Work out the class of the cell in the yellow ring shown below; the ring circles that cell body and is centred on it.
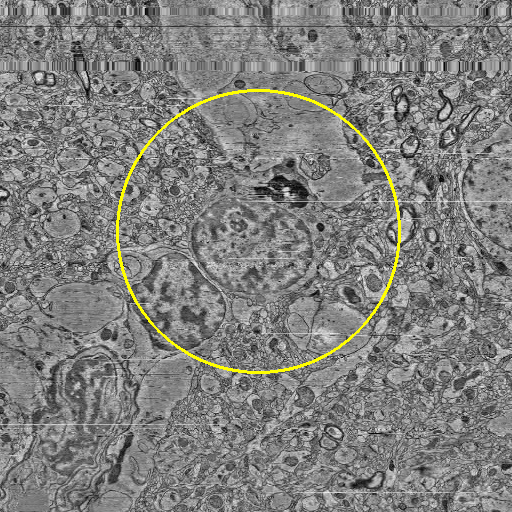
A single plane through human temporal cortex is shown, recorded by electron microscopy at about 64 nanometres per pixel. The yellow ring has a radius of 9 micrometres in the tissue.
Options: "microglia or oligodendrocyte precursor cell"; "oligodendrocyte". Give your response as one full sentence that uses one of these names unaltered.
The body ringed in yellow, right at the ring's centre, is that of an oligodendrocyte.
